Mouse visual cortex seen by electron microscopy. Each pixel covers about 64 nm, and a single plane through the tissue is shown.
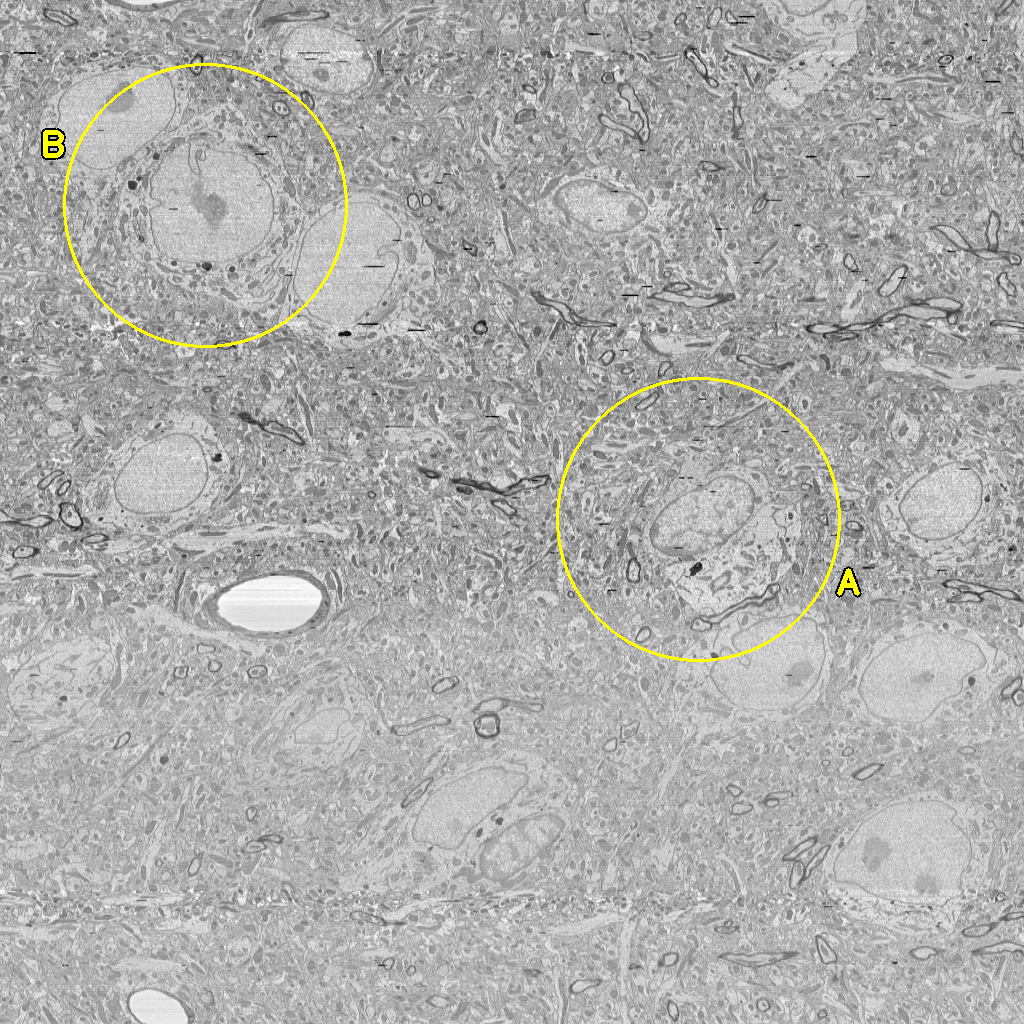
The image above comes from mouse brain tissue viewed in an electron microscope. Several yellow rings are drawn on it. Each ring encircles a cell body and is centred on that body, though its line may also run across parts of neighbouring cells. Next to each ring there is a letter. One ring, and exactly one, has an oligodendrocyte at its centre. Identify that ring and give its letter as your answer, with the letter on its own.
A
